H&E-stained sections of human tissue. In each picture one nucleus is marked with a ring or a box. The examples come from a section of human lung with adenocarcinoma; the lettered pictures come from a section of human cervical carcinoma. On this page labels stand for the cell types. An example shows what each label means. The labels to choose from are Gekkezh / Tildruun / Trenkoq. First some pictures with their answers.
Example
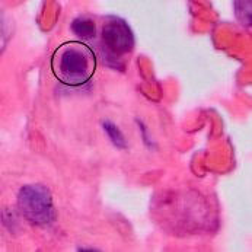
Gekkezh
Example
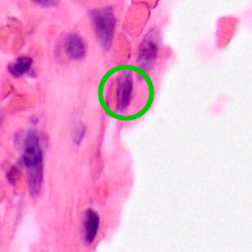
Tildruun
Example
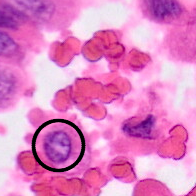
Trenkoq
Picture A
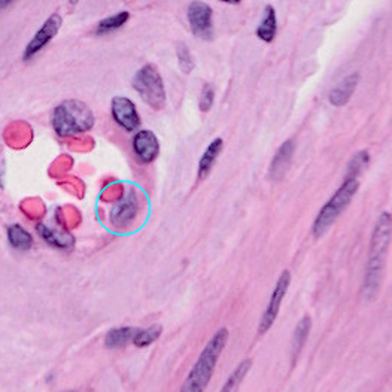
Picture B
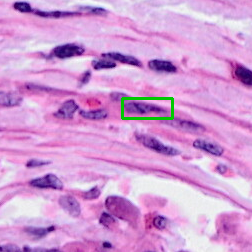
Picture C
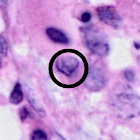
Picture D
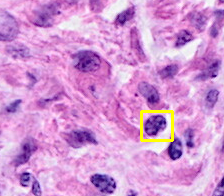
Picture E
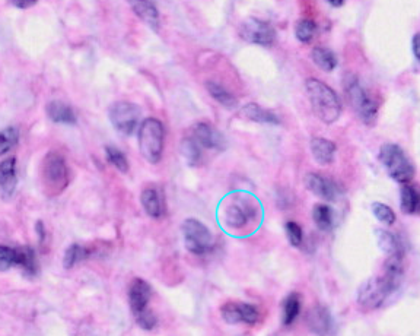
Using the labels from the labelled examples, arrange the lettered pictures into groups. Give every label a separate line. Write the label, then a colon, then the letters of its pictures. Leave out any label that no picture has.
Gekkezh: D
Tildruun: A, B
Trenkoq: C, E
